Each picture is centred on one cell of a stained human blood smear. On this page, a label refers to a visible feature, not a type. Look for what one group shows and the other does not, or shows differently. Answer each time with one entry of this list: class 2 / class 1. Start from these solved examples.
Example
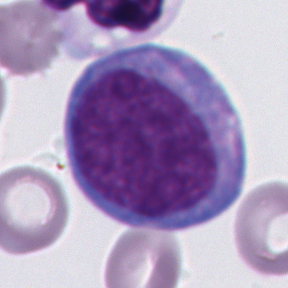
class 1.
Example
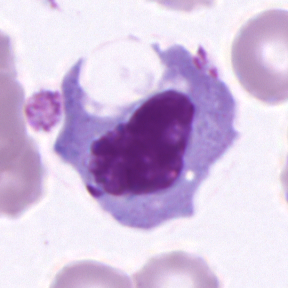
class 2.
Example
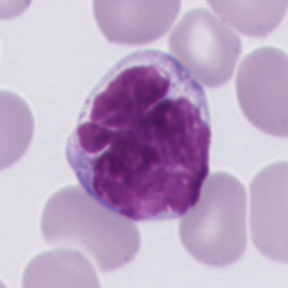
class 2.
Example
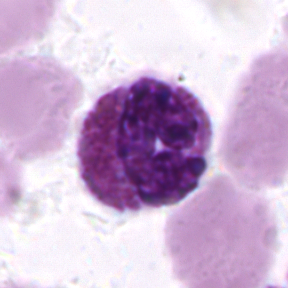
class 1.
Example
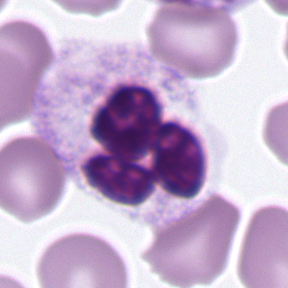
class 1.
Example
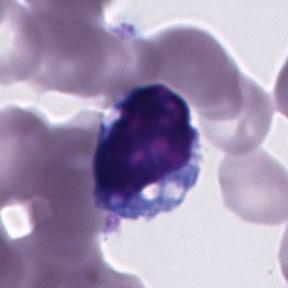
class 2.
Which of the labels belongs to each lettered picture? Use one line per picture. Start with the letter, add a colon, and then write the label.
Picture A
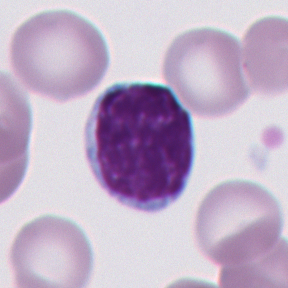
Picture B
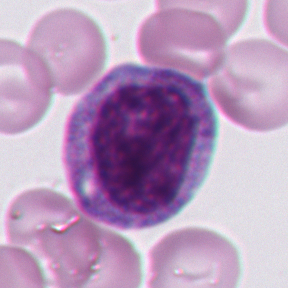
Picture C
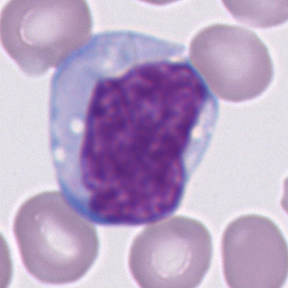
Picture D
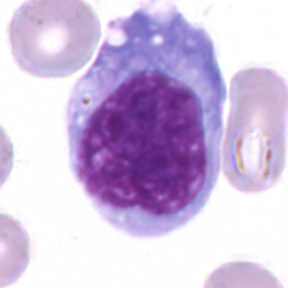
A: class 1.
B: class 2.
C: class 2.
D: class 2.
